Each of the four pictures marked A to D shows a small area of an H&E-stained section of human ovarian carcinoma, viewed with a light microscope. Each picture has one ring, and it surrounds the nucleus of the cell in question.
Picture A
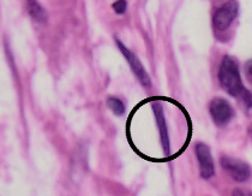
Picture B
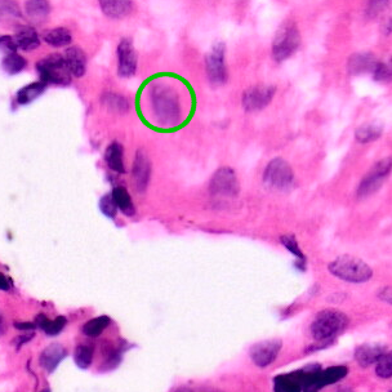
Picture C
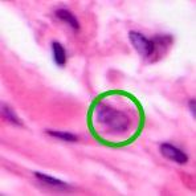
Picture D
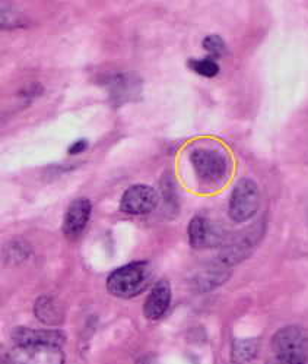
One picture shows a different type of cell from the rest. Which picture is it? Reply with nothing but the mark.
D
